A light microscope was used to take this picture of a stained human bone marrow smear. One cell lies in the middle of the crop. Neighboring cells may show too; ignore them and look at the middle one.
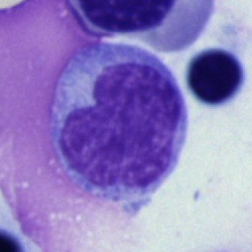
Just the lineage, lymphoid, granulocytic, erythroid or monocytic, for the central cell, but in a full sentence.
The central cell of this crop is a member of the monocytic line of development.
